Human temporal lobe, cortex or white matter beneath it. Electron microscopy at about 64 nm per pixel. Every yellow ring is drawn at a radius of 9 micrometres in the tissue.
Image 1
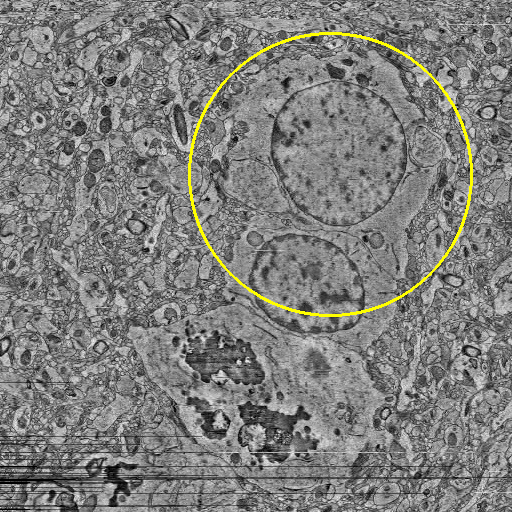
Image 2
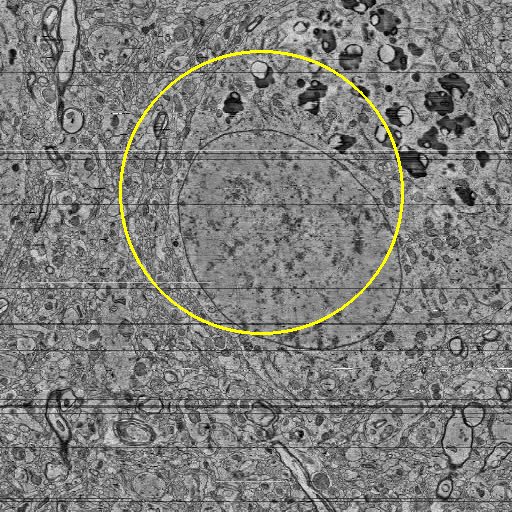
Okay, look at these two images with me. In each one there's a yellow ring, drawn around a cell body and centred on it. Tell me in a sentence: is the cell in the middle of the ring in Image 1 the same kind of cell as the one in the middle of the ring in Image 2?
No, they're two kinds of cell.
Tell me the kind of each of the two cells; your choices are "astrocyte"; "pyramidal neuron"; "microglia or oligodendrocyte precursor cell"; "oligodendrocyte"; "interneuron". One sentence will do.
The ringed cell is an astrocyte in the first picture and a pyramidal neuron in the second picture.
